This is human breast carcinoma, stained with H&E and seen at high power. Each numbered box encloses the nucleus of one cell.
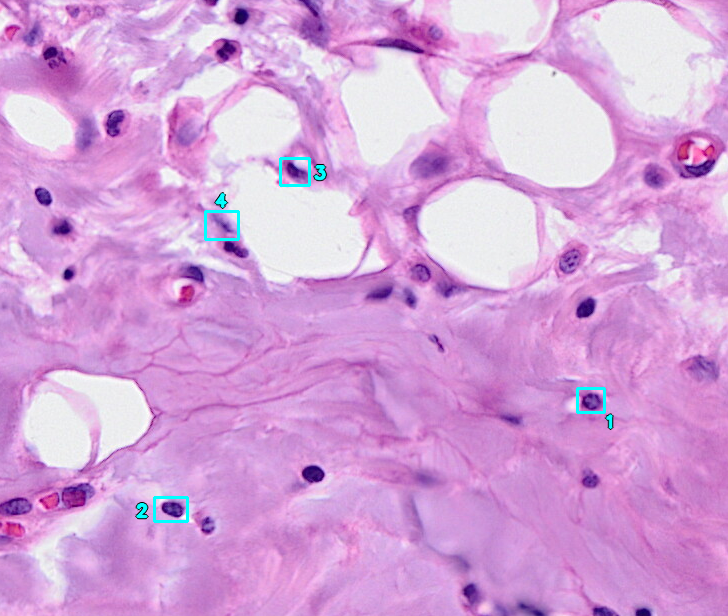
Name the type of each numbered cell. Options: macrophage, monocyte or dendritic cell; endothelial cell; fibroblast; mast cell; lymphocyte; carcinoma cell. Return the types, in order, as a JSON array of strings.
["mast cell", "lymphocyte", "endothelial cell", "fibroblast"]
